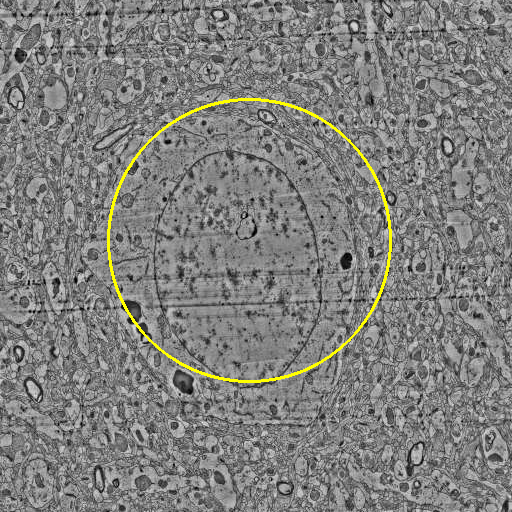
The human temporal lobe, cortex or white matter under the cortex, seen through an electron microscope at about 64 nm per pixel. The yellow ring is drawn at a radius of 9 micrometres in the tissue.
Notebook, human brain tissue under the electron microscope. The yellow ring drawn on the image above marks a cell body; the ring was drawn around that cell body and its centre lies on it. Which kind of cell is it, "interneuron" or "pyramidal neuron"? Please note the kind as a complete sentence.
The marked cell body is that of a pyramidal neuron.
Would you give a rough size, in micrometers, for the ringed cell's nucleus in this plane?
Approximately 15 x 11 micrometres in this plane.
